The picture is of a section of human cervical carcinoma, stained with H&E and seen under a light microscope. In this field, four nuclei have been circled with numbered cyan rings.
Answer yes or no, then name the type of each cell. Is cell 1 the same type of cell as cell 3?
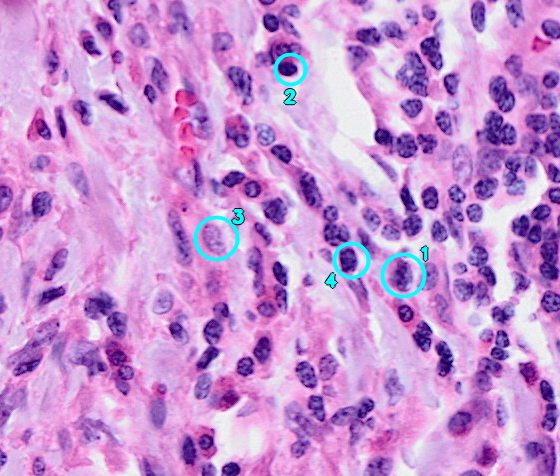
No, cell 1 is a lymphocyte, and in contrast cell 3 is an endothelial cell.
